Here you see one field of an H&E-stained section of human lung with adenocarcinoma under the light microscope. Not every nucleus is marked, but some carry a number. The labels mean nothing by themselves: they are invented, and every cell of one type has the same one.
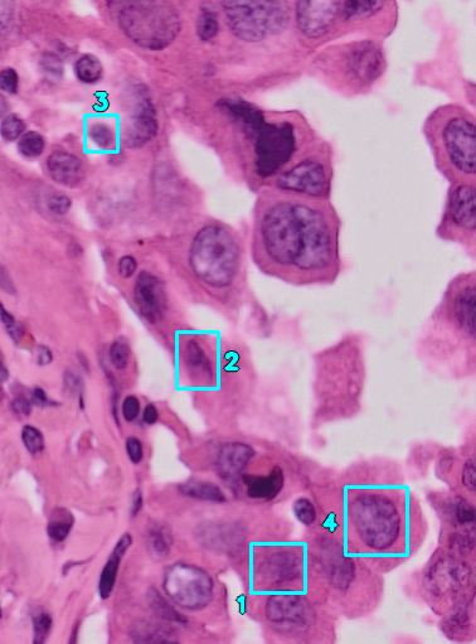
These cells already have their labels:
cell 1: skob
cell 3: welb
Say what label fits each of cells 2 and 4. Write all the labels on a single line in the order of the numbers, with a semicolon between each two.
skob; skob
